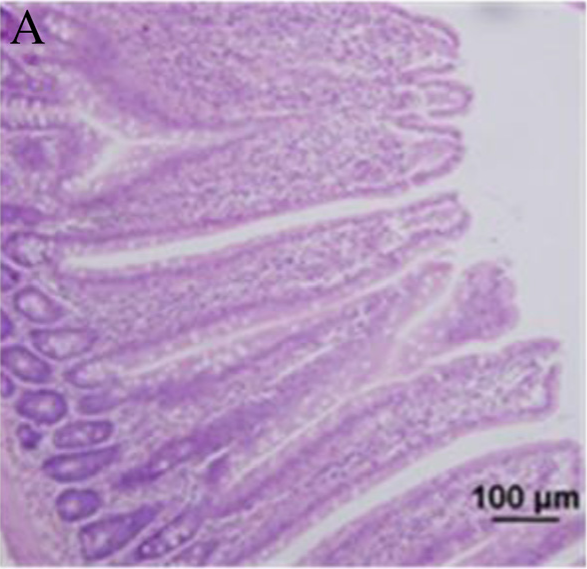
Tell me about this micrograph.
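This is a section of small intestinal mucosa with long, slender villi reaching toward the lumen on the right. Each villus is lined by a continuous layer of tall columnar epithelial cells with purple nuclei, and its core is a pale pink, cellular connective tissue. At the left, near the base, rounded crypts with darker purple epithelium are cut across or along their length. The lining of the villi is intact up to their tips.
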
